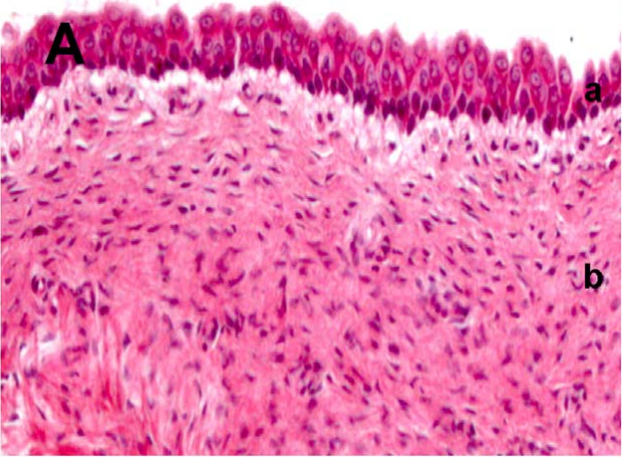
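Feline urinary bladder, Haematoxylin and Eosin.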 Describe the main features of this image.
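Along the top runs a continuous transitional cell epithelium several cells thick, its tall club-shaped cells with deep purple cytoplasm and oval nuclei standing in crowded rows. Beneath a thin pale band lies the lamina propria mucosae, a pink, fairly dense connective tissue. The layers are orderly and sharply bounded from each other.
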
